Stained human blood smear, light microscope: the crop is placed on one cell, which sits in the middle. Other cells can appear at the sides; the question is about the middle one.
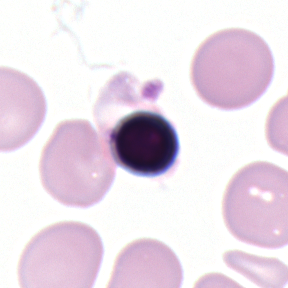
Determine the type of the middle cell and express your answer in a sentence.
Occupying the centre of the crop is a normoblast.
